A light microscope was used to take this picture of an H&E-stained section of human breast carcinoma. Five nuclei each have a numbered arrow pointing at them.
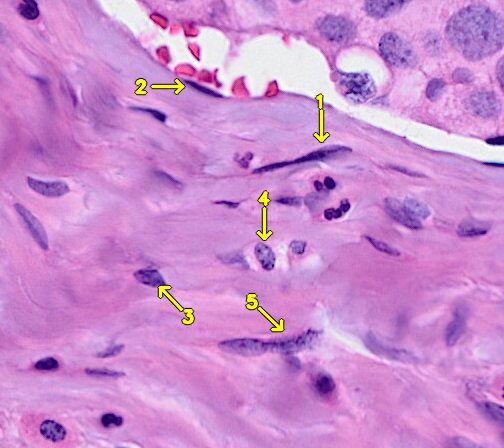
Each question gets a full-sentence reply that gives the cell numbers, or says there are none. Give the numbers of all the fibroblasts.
Into the category of fibroblasts fall the cells numbered 1, 3 and 5.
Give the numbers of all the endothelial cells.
Only the cell numbered 2 is an endothelial cell; none of the others is.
